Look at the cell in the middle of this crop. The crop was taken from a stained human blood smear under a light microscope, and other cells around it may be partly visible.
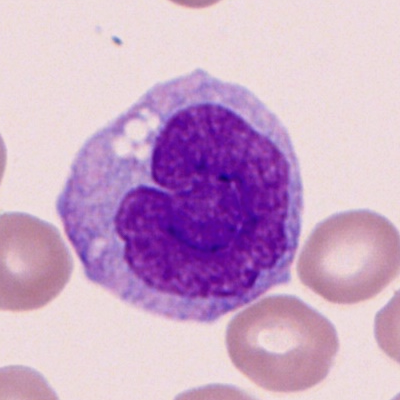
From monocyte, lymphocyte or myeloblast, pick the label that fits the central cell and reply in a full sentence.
Looking at the middle of the crop, the cell there is a monocyte.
